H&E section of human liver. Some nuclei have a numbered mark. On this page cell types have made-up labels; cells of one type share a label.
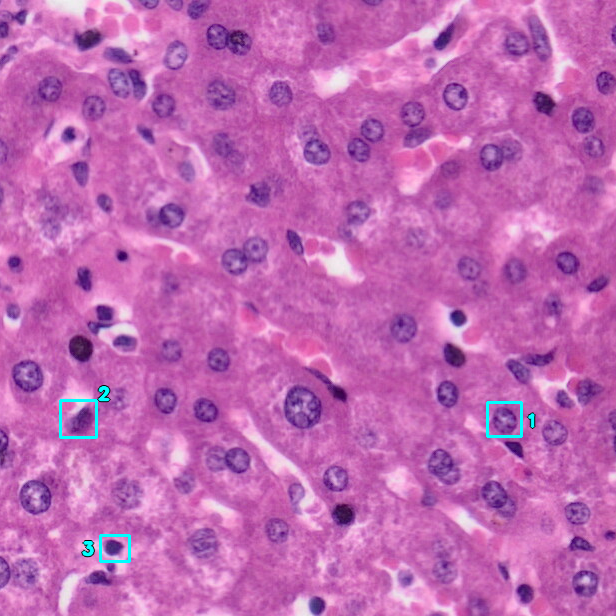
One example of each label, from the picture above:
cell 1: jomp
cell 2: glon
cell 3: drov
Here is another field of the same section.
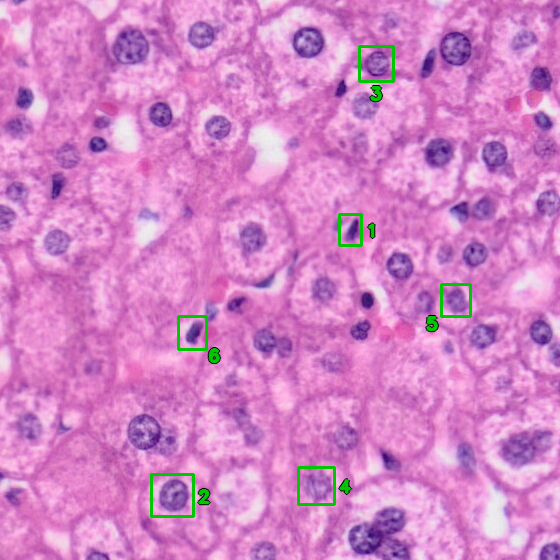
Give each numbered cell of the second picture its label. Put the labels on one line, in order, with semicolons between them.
glon; jomp; jomp; jomp; jomp; drov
